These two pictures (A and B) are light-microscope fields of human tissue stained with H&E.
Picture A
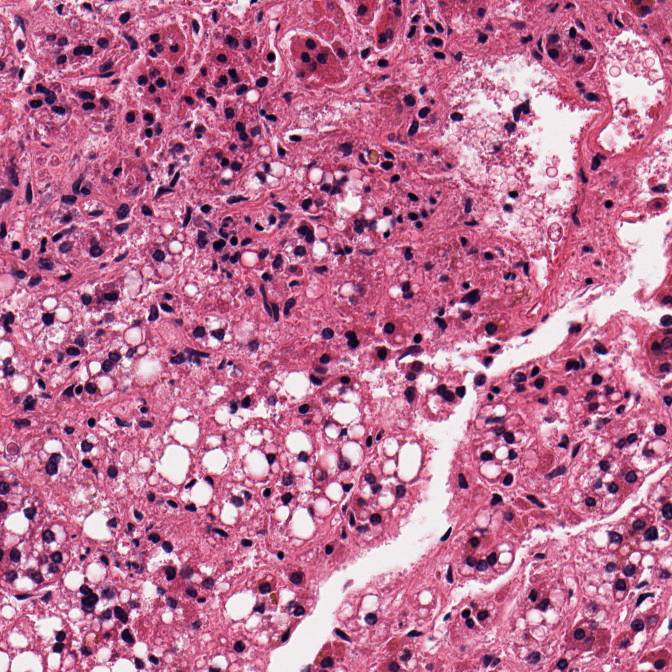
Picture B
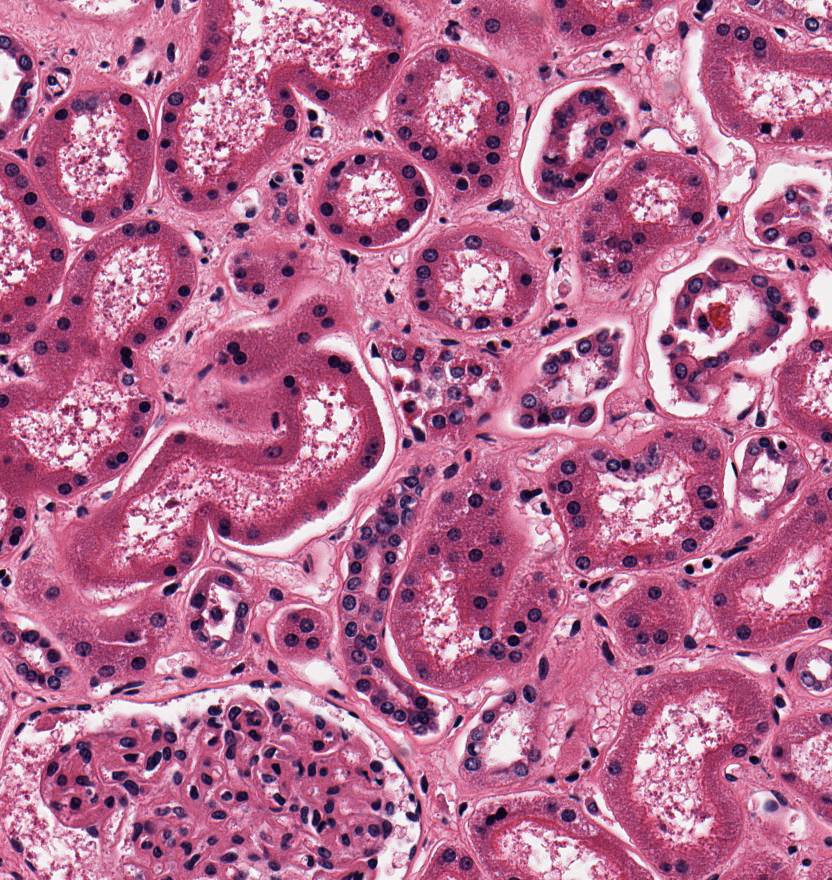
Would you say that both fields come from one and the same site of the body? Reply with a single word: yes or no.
no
